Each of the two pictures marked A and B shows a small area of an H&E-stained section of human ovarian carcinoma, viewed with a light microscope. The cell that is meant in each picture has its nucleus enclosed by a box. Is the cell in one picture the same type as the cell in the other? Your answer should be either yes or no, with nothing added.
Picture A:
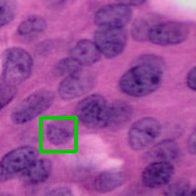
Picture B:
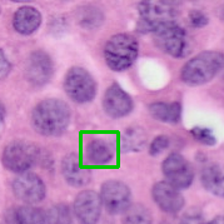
yes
